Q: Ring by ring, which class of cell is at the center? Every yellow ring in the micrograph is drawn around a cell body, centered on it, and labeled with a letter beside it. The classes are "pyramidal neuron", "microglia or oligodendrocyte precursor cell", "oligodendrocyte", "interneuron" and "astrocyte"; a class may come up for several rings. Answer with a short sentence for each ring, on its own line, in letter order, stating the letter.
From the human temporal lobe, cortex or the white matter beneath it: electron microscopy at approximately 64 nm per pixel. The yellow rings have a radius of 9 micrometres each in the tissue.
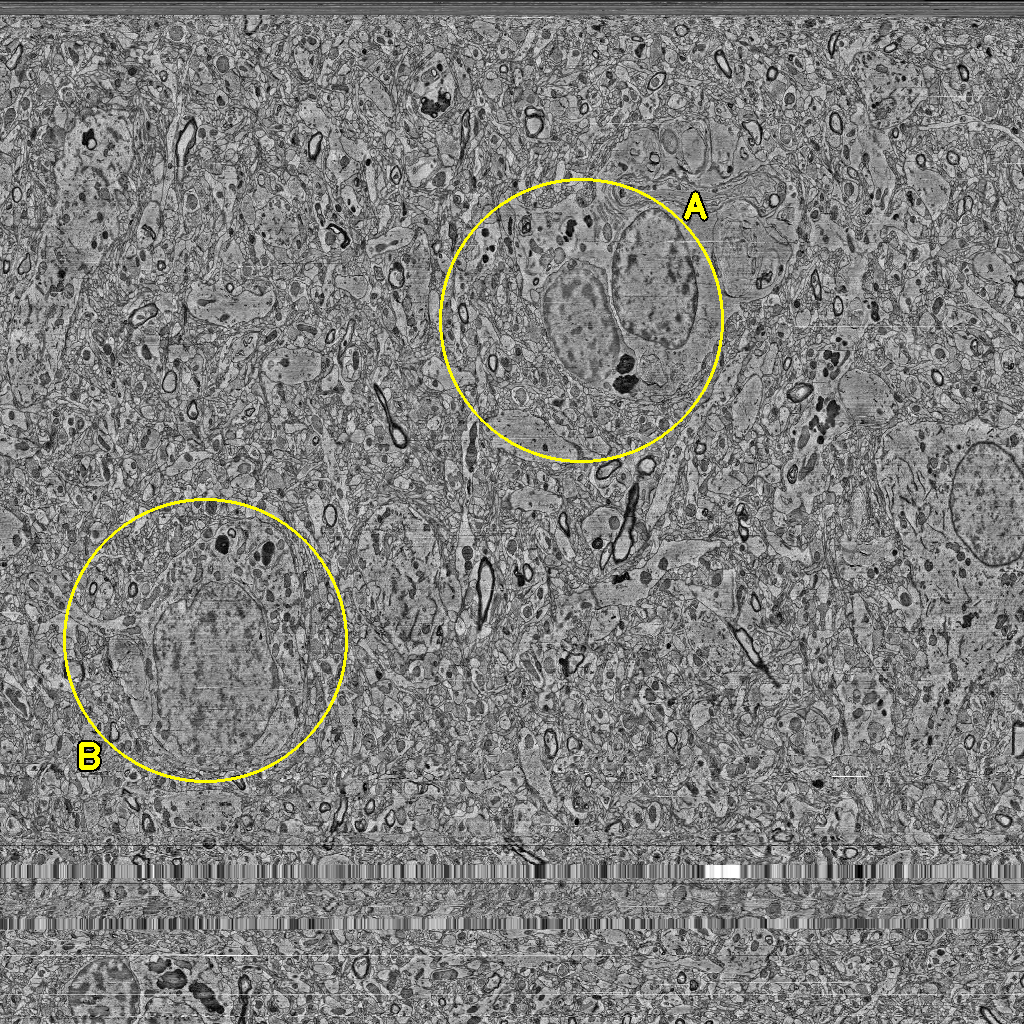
Ring A holds an oligodendrocyte at its center.
Ring B holds an interneuron at its center.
